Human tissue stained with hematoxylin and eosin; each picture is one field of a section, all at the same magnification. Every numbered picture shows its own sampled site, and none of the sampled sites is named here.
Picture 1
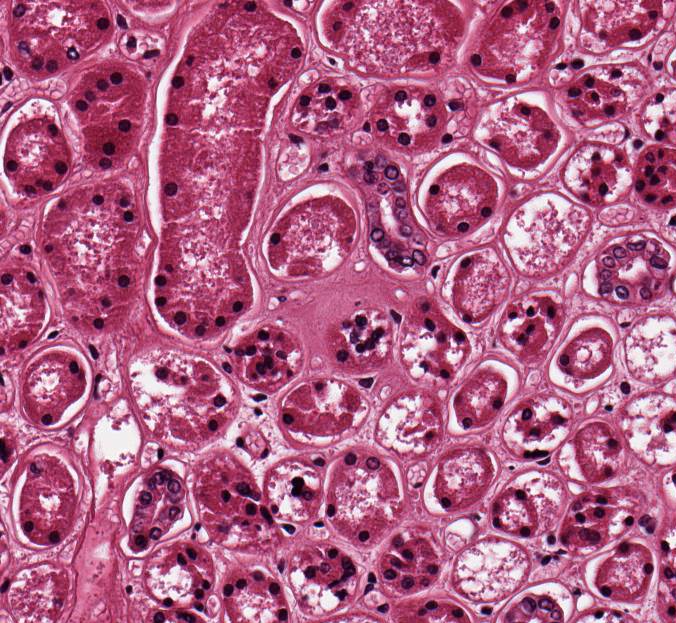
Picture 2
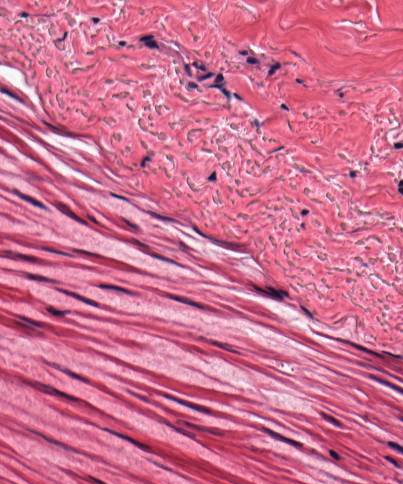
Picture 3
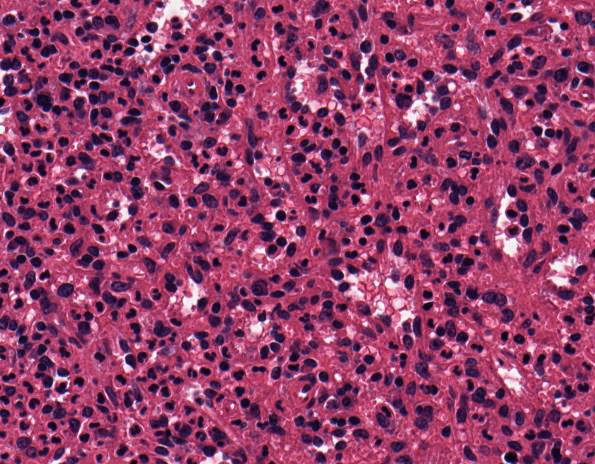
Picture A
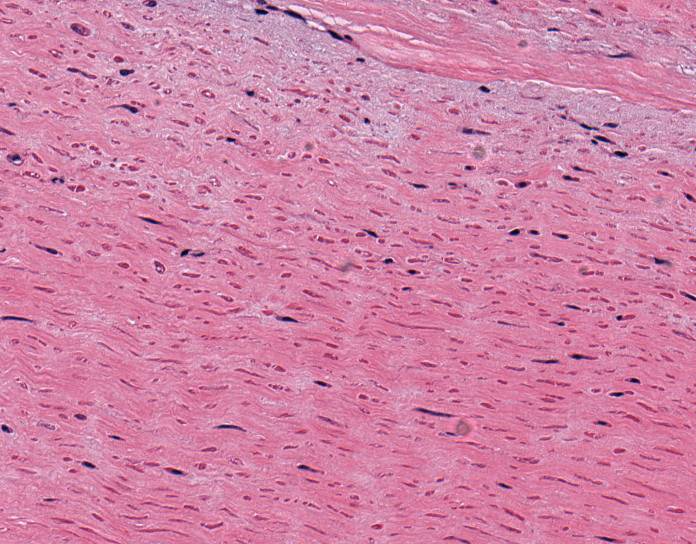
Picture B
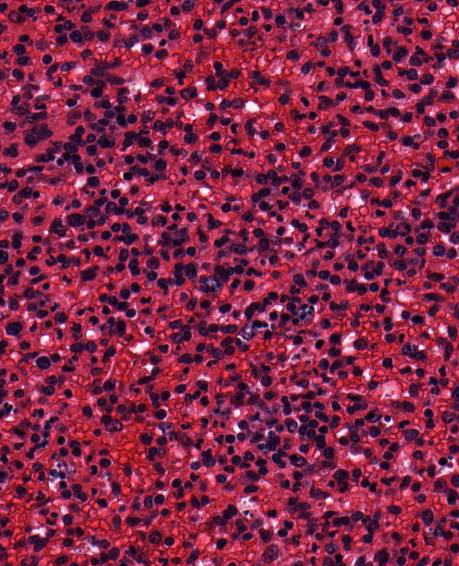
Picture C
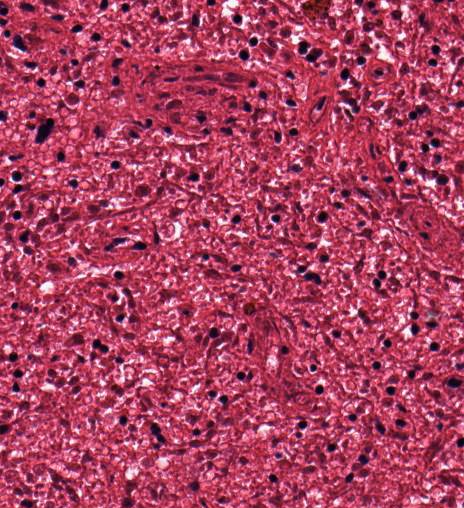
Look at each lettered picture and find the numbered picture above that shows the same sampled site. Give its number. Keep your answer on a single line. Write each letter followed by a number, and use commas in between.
A 2, B 3, C 3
